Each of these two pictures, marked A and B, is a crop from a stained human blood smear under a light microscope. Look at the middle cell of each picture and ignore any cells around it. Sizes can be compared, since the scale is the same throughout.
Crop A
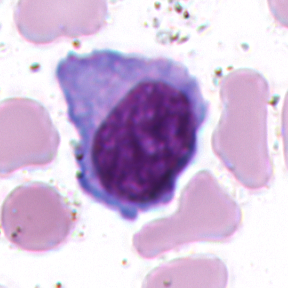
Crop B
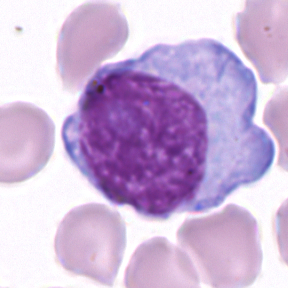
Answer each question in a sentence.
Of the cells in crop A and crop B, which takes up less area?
It is the cell in crop A; the cell in crop B has about 1.5 times its area.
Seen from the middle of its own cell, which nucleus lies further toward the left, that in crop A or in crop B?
The nucleus in crop B lies further toward the left of its cell.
